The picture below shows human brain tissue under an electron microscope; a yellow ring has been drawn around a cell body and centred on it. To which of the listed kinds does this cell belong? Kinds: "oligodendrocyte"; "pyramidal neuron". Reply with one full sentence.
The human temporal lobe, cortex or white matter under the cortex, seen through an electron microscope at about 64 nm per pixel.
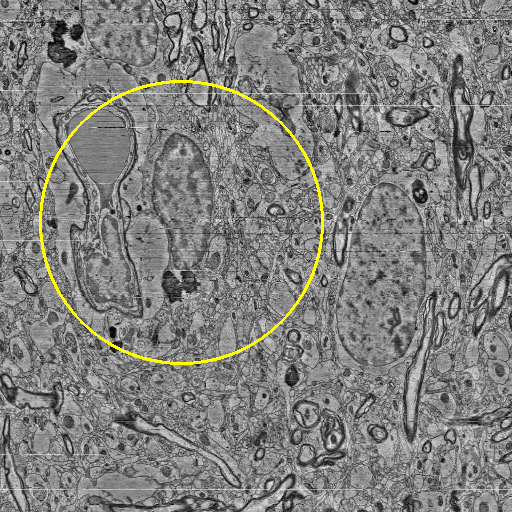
It is an oligodendrocyte that the yellow ring in the picture is centred on.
